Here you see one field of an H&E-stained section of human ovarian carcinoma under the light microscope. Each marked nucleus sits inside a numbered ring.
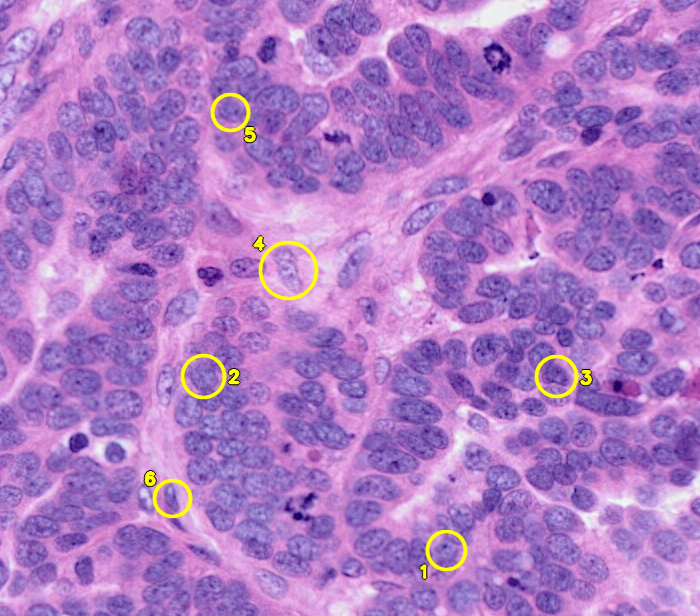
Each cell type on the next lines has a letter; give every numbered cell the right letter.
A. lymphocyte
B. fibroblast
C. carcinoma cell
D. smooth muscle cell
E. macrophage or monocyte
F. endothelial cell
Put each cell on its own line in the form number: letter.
1: C
2: C
3: C
4: B
5: C
6: B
